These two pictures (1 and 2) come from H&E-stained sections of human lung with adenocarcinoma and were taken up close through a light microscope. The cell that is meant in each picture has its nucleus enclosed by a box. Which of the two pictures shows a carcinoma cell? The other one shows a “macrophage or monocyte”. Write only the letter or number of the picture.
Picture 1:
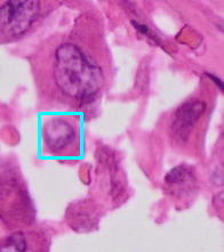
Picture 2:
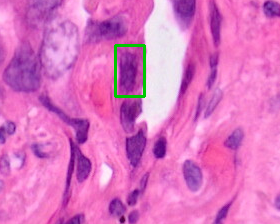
2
